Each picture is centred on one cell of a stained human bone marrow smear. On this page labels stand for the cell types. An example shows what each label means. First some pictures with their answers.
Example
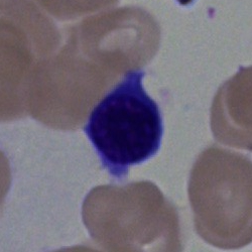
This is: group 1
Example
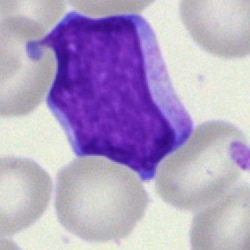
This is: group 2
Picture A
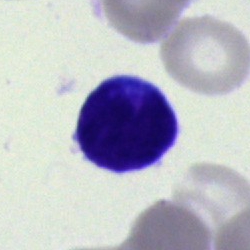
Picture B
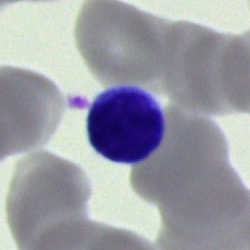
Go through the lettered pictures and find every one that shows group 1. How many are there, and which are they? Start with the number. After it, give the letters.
1, namely B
